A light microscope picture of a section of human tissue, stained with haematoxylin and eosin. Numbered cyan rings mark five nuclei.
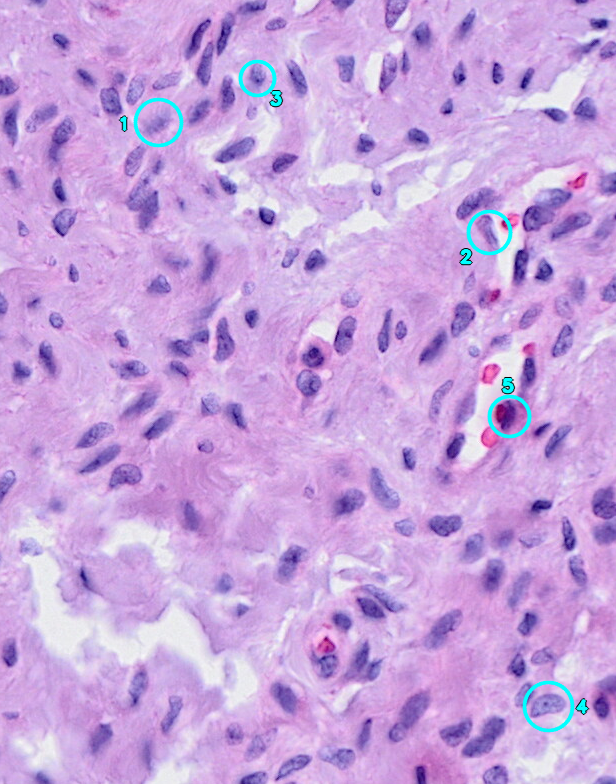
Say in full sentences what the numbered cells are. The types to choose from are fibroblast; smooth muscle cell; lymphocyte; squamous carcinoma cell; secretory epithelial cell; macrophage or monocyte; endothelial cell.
Cells 1, 3 and 4 are fibroblasts. Cells 2 and 5 are endothelial cells.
